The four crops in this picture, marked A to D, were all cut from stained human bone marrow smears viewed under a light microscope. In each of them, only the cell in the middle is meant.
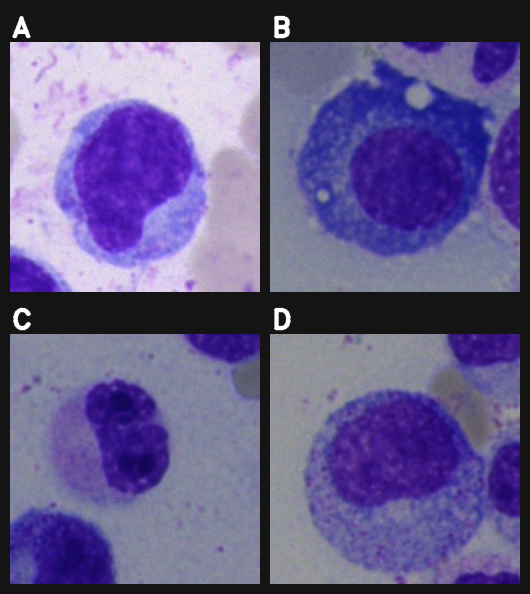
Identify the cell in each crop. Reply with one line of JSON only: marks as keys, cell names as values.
{"A": "plasma cell", "B": "plasma cell", "C": "segmented neutrophil", "D": "promyelocyte"}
